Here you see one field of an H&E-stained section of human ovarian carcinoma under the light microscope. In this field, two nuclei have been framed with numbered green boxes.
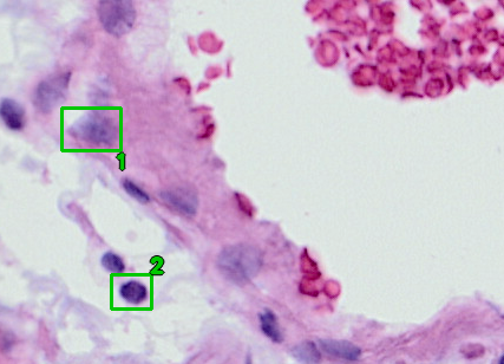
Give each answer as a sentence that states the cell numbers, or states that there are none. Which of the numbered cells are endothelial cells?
Only number 1 is an endothelial cell; none of the others are.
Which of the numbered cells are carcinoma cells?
No numbered cell in this section is one of the carcinoma cells.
